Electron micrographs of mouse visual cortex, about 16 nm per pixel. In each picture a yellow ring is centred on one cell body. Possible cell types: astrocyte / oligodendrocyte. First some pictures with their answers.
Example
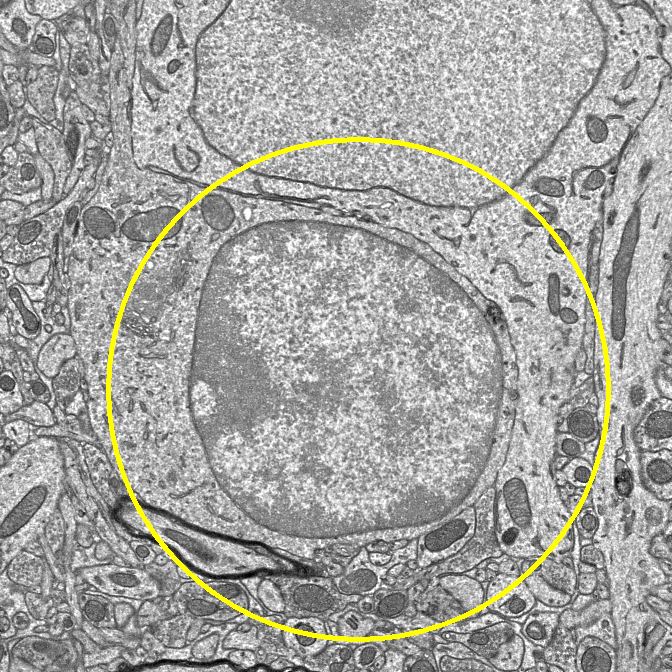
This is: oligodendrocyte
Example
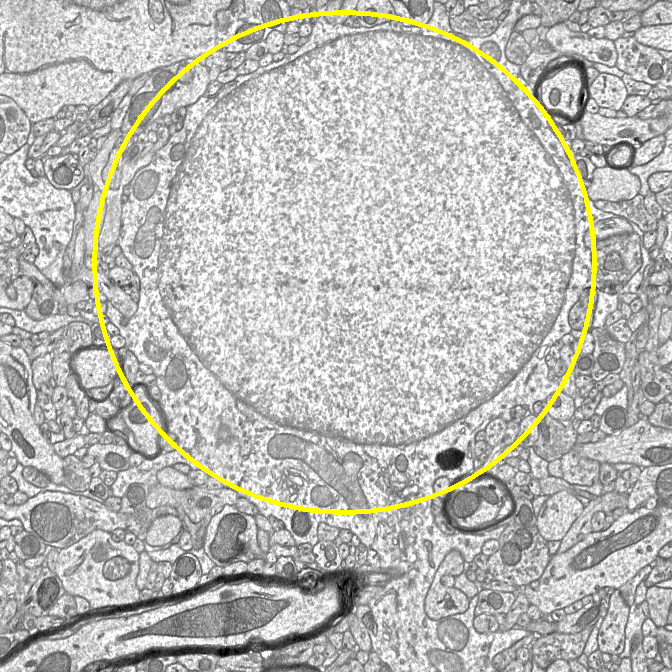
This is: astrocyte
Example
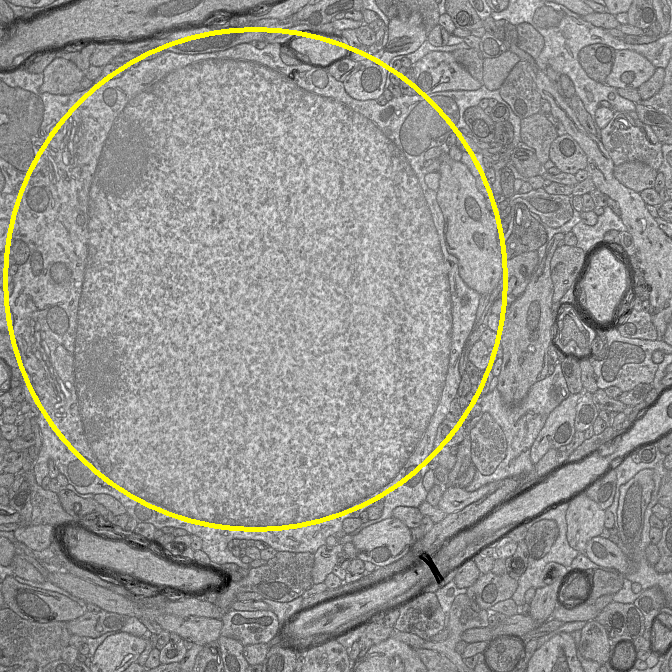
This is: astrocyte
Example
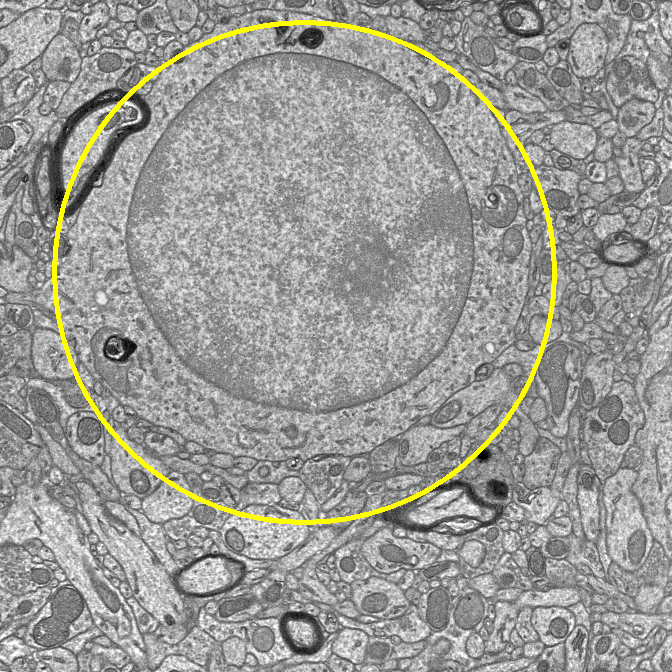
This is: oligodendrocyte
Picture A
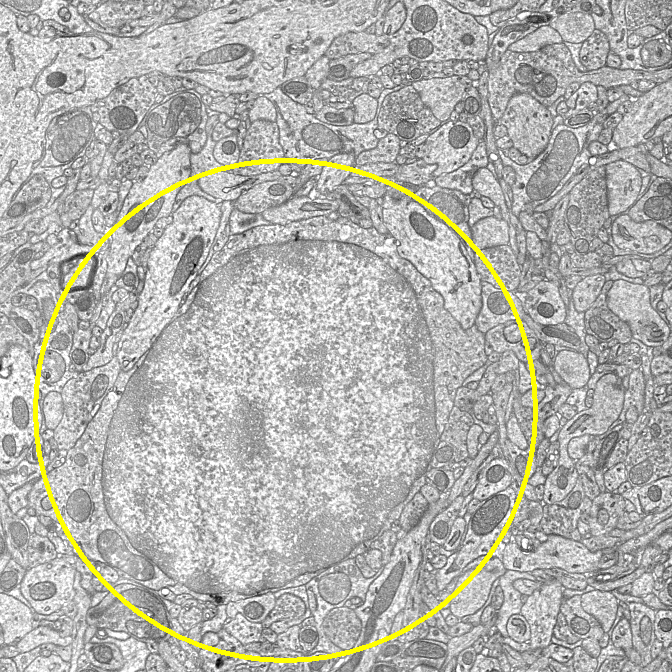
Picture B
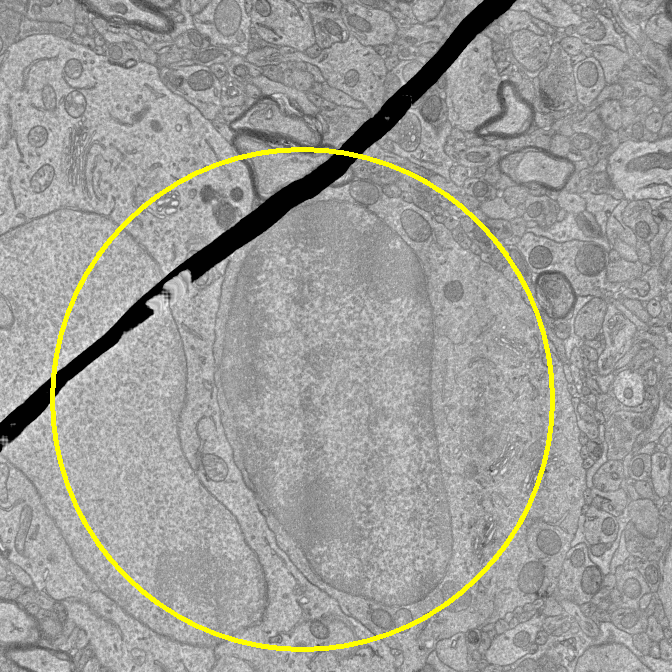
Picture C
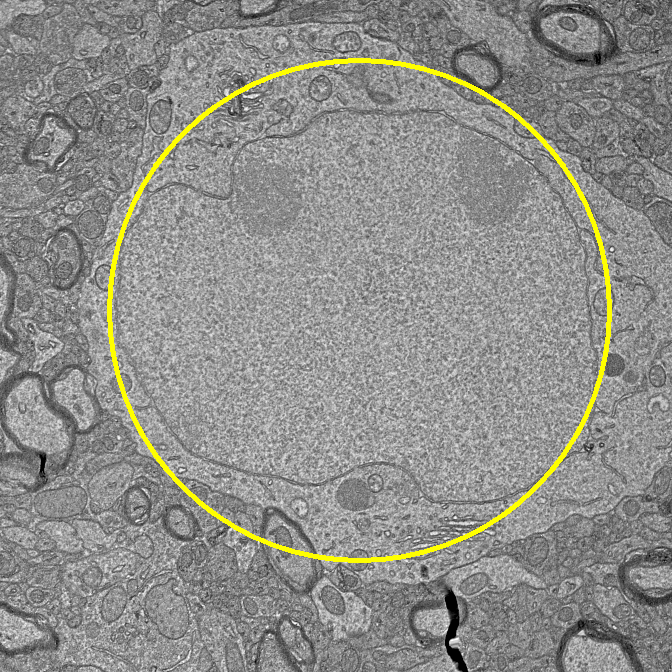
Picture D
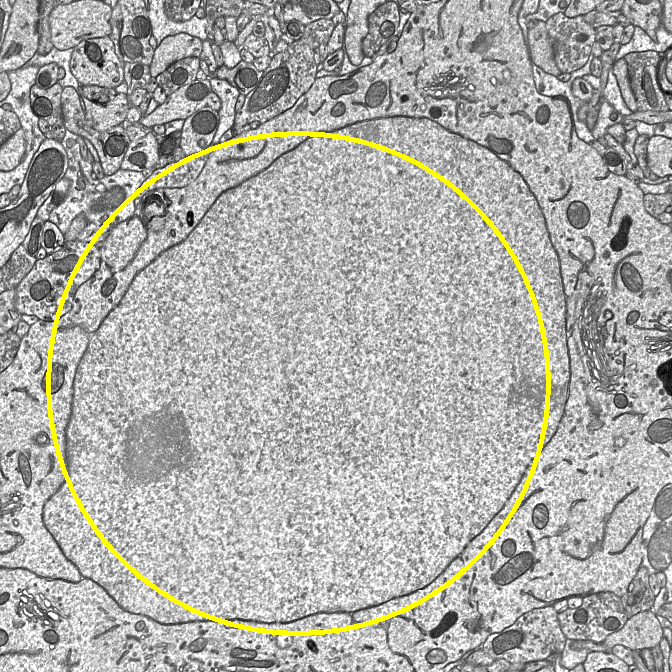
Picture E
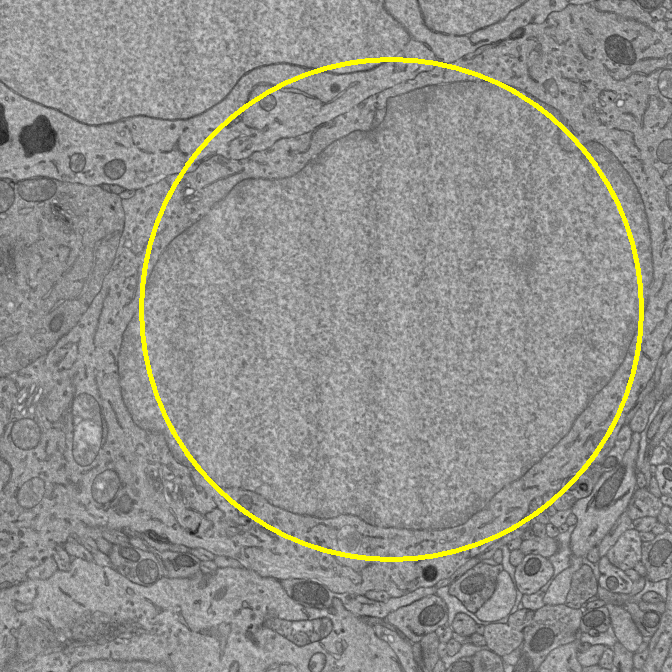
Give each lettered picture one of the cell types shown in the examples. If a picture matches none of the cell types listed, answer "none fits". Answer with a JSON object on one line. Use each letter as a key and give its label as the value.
{"A": "oligodendrocyte", "B": "oligodendrocyte", "C": "none fits", "D": "none fits", "E": "oligodendrocyte"}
